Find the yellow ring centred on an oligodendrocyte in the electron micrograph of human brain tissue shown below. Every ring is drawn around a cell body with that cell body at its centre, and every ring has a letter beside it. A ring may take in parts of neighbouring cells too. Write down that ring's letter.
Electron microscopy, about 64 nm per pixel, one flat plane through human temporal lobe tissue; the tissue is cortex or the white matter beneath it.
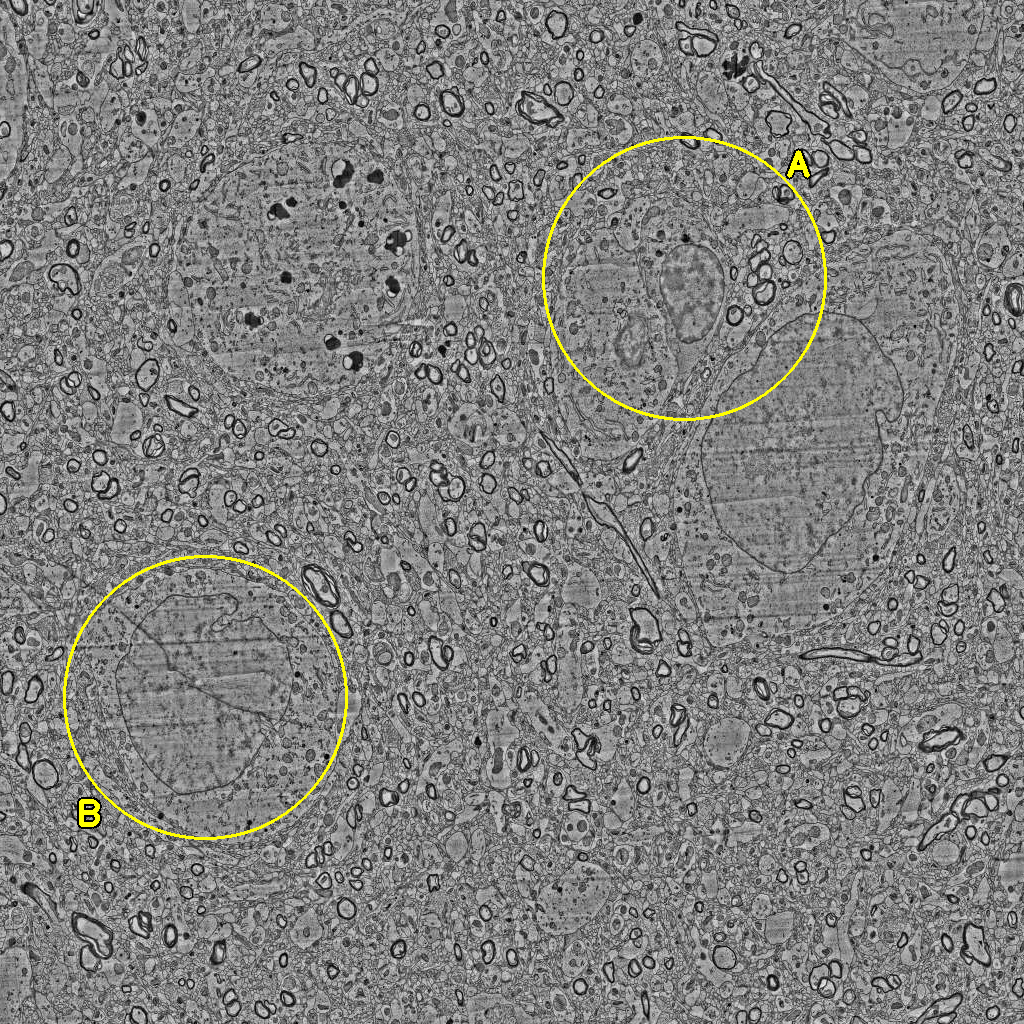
A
